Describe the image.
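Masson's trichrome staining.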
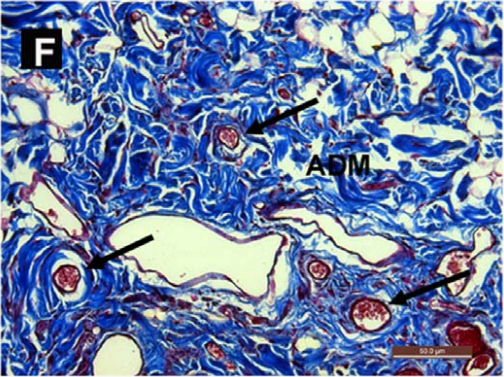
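Wavy bundles of collagen stained blue fill the field, loosely packed with many clear spaces between them. Scattered among the bundles are several small round channels with thin walls, each holding clumps of red-purple red blood cells. Dark purple nuclei are seen here and there along the bundles and at the walls of these channels. A larger empty, irregular lumen lies toward the lower part of the field.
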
